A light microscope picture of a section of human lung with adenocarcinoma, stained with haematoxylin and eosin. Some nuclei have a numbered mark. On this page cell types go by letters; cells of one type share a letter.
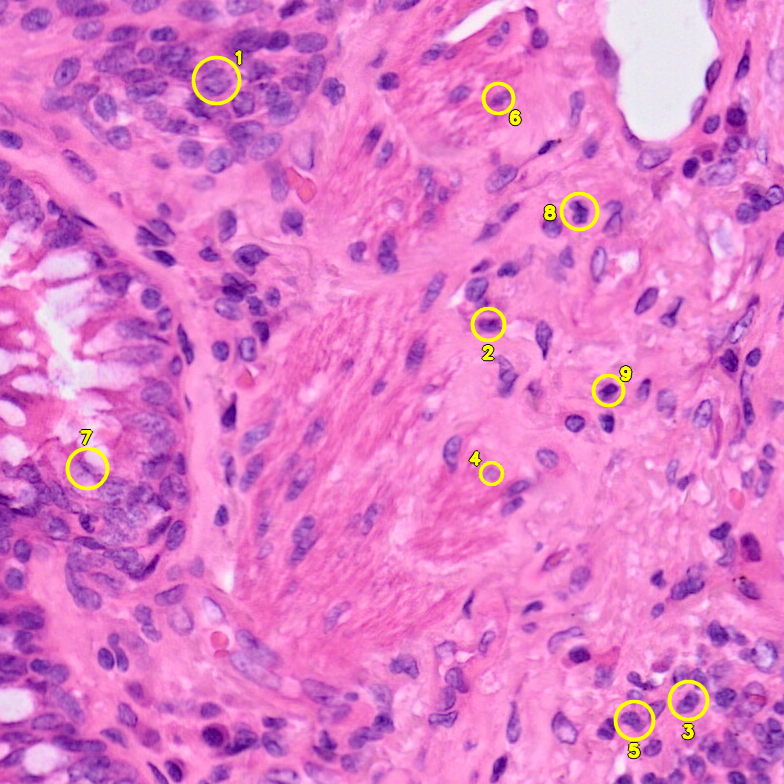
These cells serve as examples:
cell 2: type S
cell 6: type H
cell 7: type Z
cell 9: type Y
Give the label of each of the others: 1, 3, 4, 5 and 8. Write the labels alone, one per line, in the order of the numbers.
type Z
type Y
type H
type Y
type Y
